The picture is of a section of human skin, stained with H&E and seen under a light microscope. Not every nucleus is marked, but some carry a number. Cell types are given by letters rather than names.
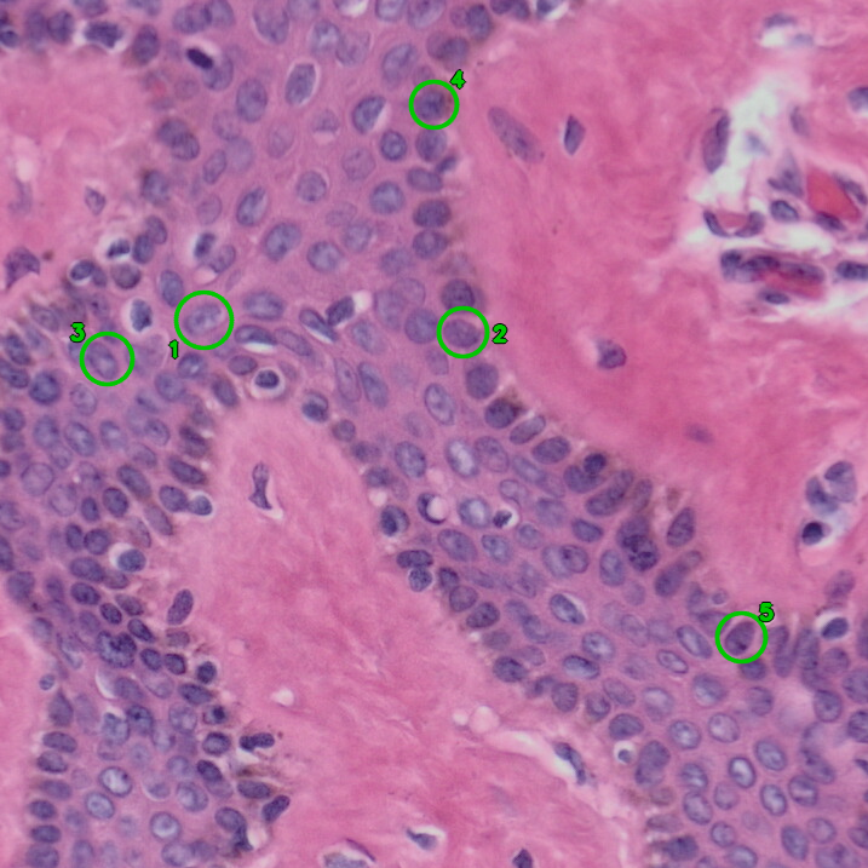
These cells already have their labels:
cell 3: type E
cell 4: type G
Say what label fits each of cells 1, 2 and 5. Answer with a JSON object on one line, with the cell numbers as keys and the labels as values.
{"1": "type E", "2": "type G", "5": "type G"}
